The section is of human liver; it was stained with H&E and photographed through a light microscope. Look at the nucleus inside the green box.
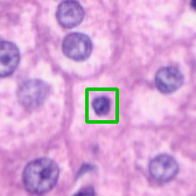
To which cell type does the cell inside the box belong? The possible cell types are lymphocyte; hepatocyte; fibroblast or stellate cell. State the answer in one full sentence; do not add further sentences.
In this section, the cell inside the box is a lymphocyte.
